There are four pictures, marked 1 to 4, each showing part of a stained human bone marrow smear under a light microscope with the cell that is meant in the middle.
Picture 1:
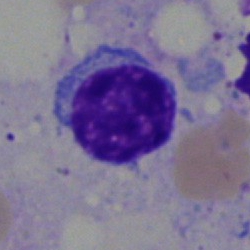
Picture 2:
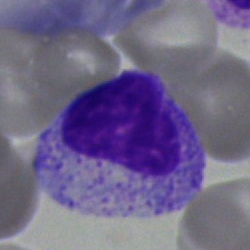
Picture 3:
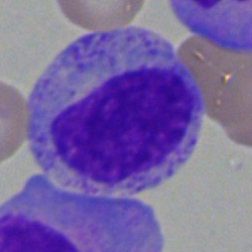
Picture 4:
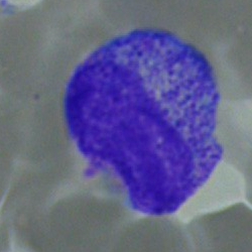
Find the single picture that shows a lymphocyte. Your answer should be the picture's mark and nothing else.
1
